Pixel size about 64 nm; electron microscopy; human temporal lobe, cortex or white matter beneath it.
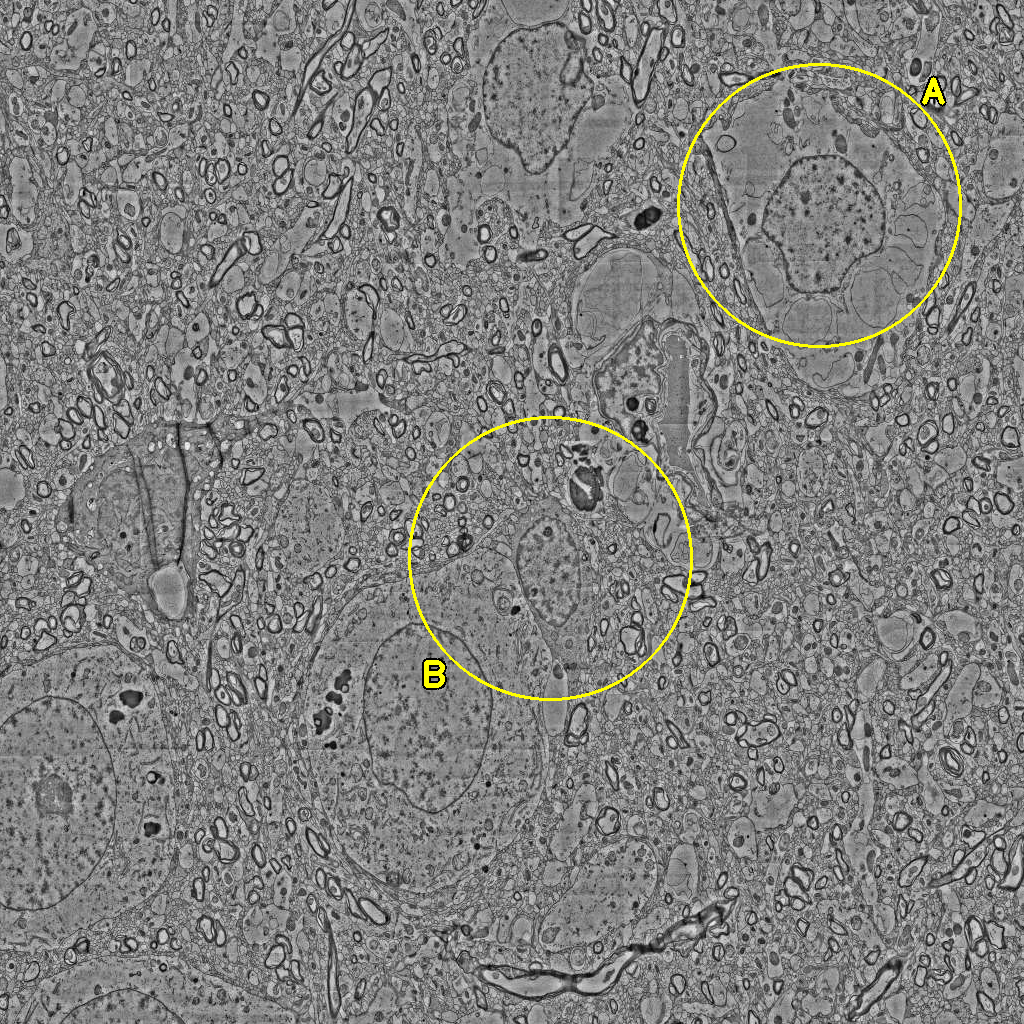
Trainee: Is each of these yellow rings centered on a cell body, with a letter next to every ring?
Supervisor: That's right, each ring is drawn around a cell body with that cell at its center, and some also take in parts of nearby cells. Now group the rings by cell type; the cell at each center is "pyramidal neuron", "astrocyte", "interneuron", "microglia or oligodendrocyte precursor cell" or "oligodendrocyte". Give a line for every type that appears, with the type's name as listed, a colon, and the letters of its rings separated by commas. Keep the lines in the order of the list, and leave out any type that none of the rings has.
astrocyte: A
oligodendrocyte: B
